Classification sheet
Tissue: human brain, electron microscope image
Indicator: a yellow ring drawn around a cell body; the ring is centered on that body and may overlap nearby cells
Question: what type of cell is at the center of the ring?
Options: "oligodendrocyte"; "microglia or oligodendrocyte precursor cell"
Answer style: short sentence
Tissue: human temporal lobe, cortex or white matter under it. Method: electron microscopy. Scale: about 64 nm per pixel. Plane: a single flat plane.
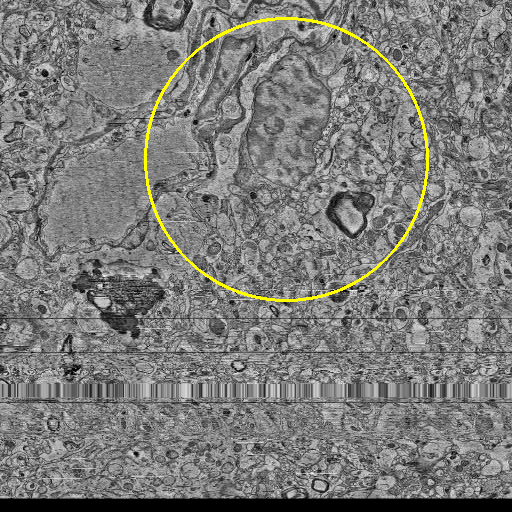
At the ring's center is an oligodendrocyte.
